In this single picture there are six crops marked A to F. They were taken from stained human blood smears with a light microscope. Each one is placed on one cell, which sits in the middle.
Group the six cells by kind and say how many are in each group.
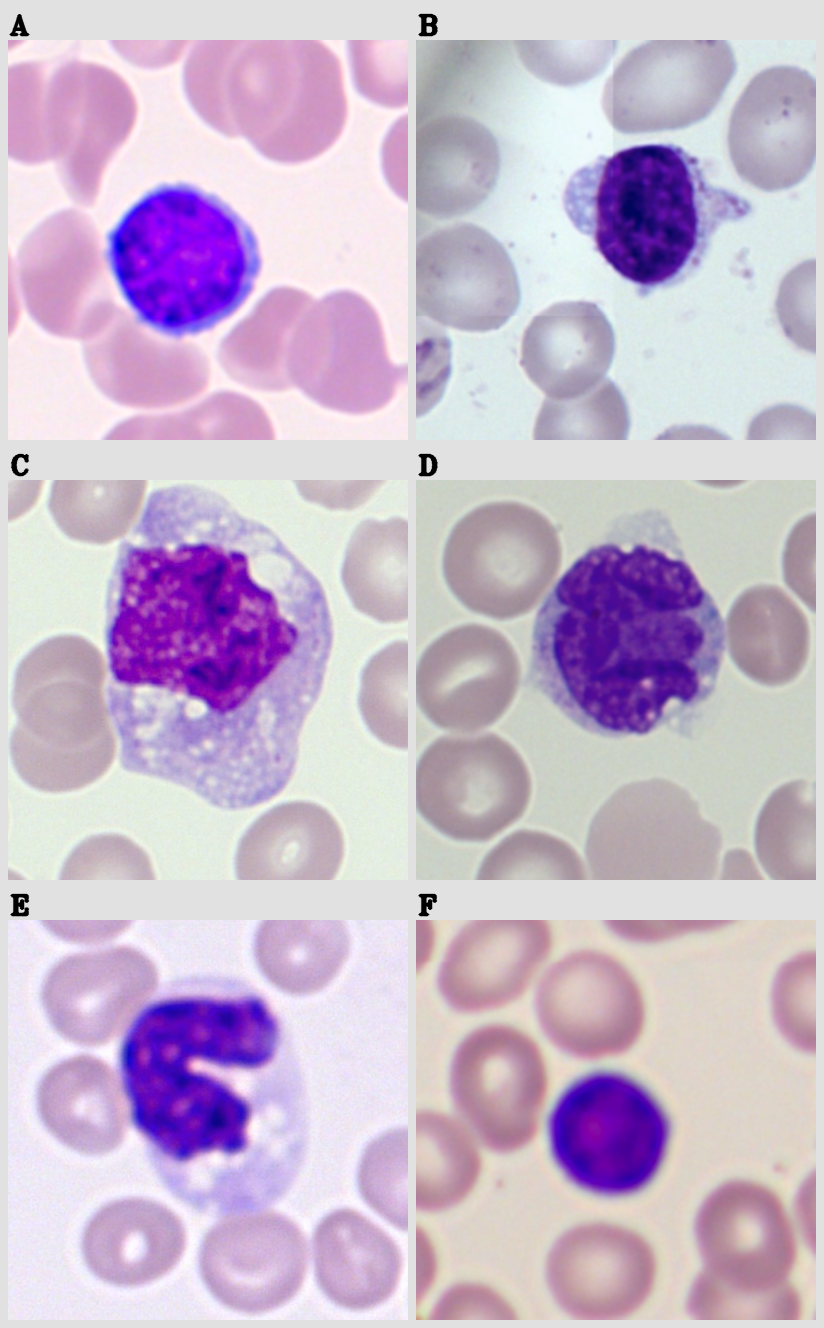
lymphocyte: 3
monocyte: 3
